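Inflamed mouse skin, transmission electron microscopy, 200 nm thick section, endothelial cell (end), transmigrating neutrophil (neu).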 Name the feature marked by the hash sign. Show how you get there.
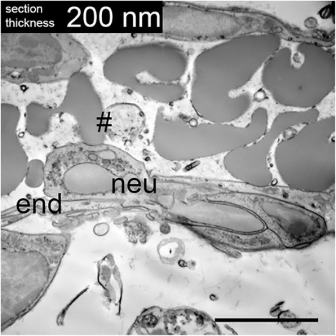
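The hash sign lies in a space crowded with smooth, uniformly grey, irregularly shaped profiles like red blood cells. A thin cellular wall separates this space from the tissue below. The answer: lumen of the vessel.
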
